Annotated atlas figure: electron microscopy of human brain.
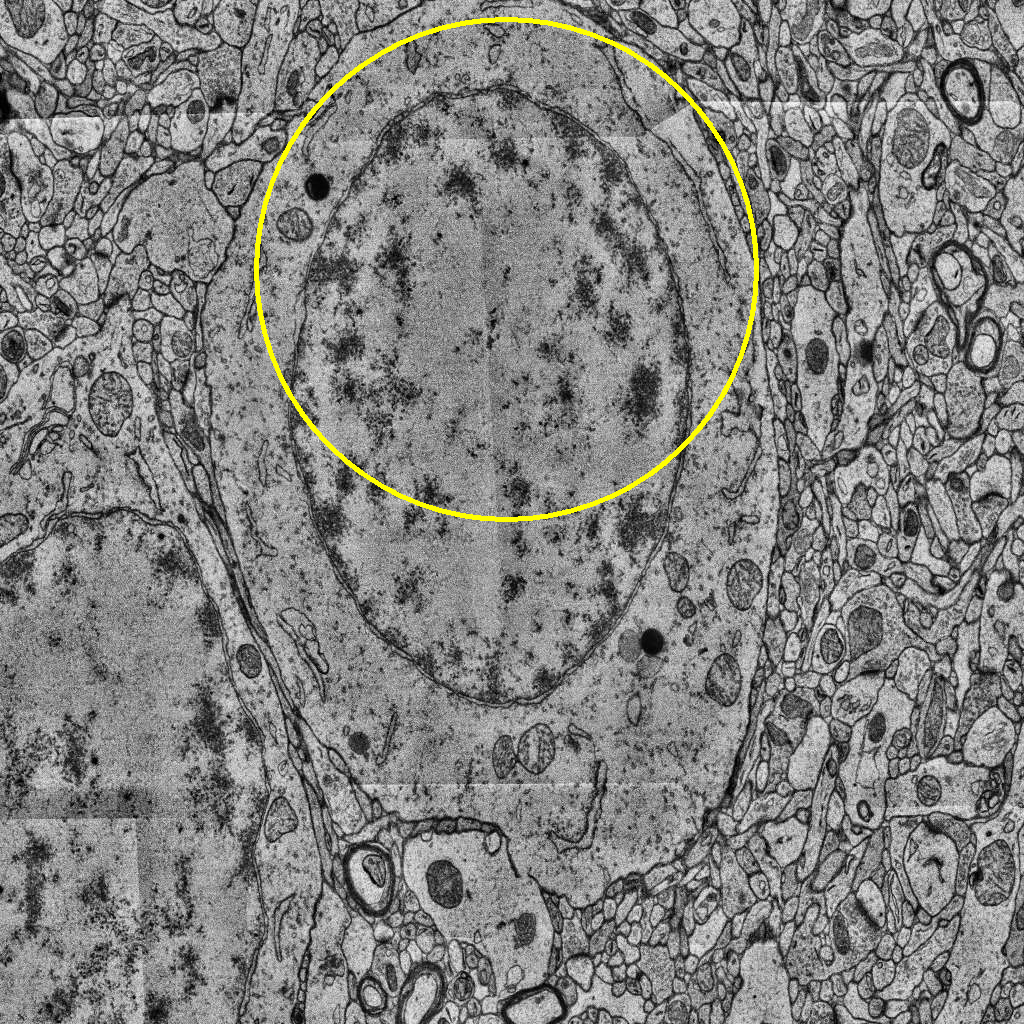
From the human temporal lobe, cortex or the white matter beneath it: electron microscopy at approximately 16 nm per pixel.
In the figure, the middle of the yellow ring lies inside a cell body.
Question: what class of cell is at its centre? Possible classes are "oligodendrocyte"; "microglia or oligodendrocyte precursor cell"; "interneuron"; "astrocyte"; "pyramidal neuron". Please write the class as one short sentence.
The yellow ring's centre lies in a pyramidal neuron.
